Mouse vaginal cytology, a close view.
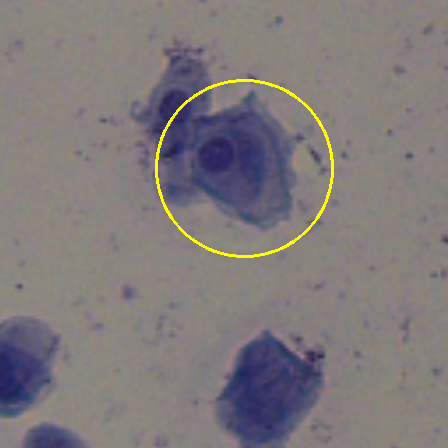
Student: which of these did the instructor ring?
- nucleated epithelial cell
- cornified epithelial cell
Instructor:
The cell I ringed is a nucleated epithelial cell.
